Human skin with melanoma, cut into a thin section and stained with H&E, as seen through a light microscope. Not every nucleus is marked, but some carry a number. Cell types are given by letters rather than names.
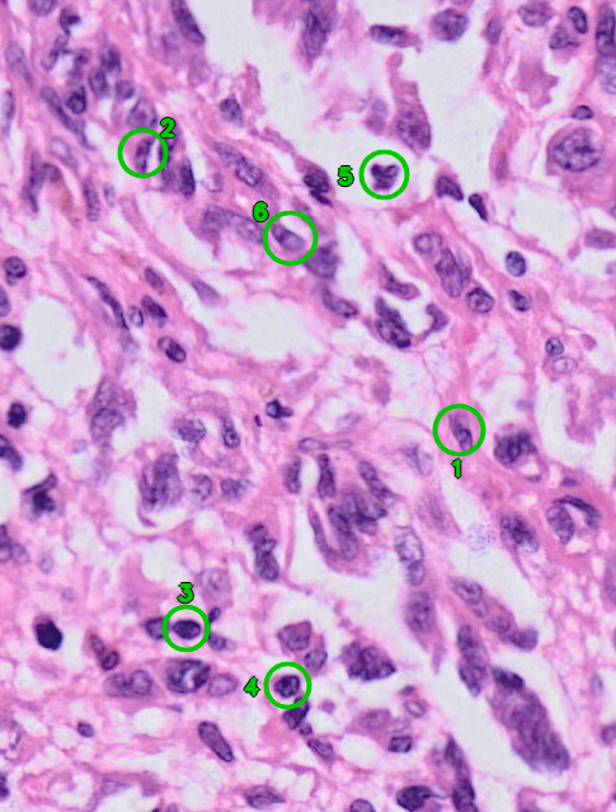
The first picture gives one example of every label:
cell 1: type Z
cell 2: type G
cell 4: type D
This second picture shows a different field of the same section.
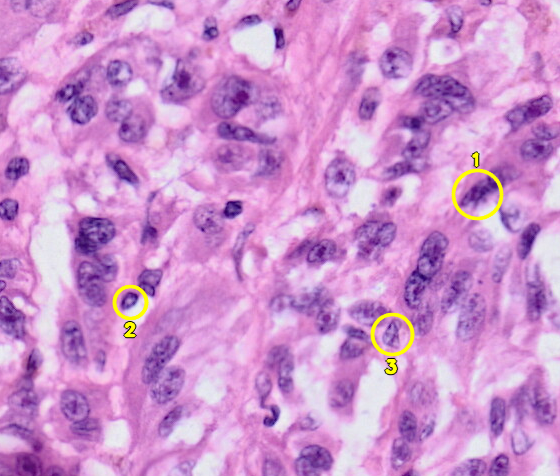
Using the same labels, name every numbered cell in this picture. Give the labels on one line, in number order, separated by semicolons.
type G; type D; type Z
